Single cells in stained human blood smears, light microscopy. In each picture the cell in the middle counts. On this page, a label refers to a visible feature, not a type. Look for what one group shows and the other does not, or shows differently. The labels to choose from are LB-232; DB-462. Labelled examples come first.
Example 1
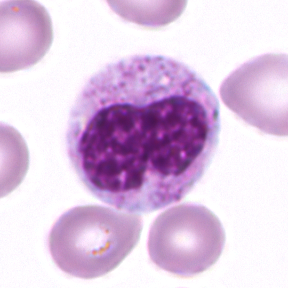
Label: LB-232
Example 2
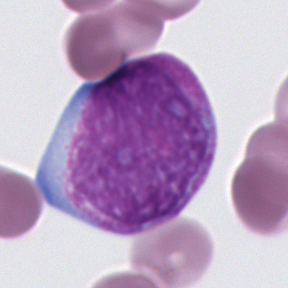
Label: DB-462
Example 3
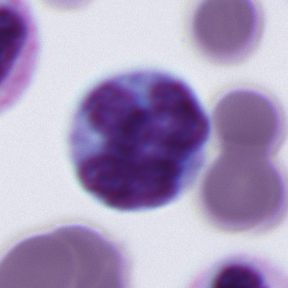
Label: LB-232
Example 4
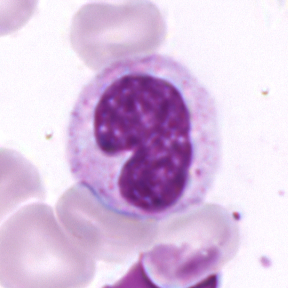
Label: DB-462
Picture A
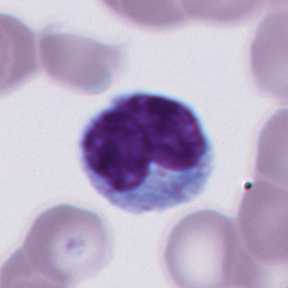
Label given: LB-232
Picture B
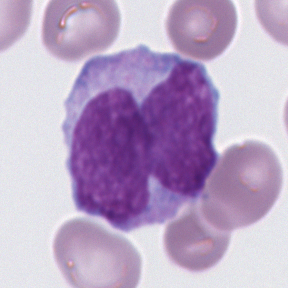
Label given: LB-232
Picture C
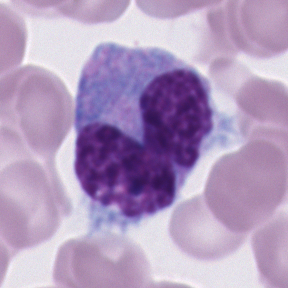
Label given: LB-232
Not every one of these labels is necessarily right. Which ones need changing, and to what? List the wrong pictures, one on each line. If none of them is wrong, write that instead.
All labels are correct.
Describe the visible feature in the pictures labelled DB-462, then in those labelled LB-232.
DB-462, single compact nucleus; LB-232, lobed nucleus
